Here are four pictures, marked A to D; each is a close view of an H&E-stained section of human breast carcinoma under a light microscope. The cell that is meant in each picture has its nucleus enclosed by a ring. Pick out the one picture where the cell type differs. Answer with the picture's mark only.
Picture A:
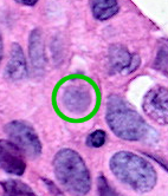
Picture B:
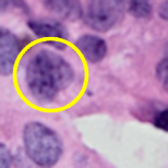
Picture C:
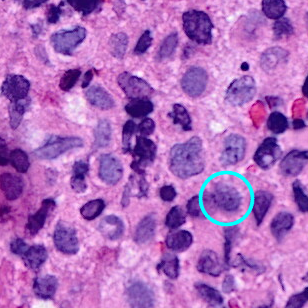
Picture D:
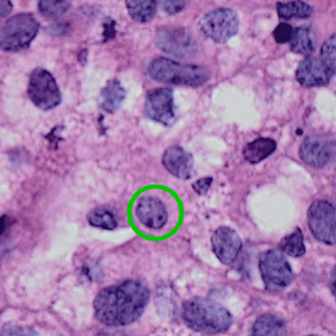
D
